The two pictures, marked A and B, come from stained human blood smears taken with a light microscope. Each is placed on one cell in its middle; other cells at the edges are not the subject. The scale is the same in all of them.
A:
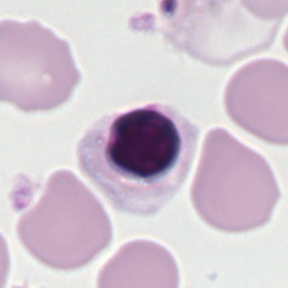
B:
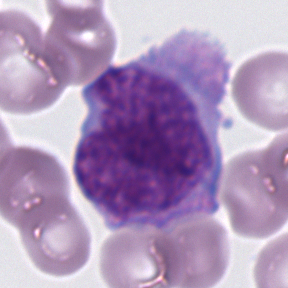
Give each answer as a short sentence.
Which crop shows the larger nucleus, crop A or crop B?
Larger is the nucleus in crop B, at roughly 4 times the area of the other.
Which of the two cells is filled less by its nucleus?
The nucleus fills less of the cell in crop A than in crop B.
